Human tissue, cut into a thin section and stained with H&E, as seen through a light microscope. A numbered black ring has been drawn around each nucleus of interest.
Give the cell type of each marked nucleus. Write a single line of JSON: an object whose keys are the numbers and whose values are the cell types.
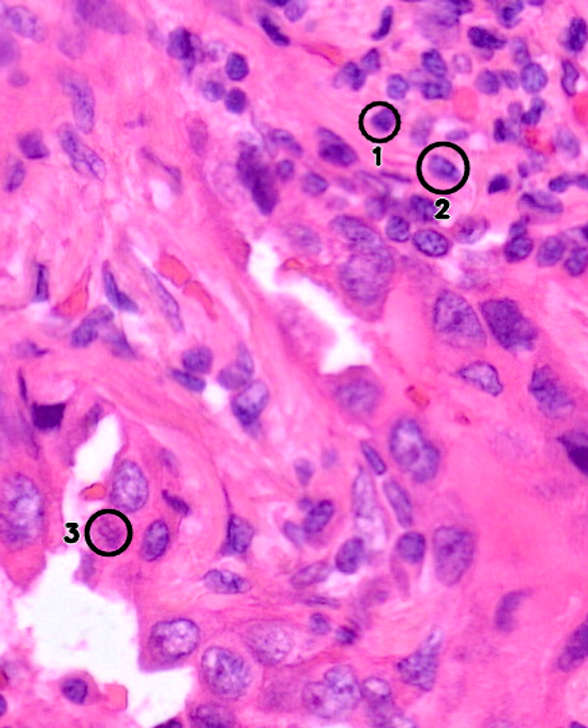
{"1": "lymphocyte", "2": "lymphocyte", "3": "carcinoma cell"}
